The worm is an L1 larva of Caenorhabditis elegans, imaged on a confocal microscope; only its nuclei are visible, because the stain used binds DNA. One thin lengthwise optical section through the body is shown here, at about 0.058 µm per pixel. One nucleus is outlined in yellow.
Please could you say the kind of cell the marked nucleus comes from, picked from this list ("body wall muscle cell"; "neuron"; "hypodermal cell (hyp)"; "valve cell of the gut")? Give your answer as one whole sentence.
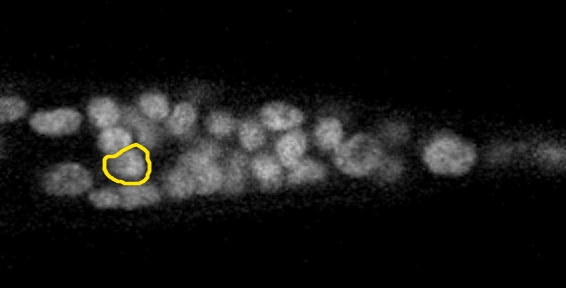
The cell with the marked nucleus is a valve cell of the gut.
